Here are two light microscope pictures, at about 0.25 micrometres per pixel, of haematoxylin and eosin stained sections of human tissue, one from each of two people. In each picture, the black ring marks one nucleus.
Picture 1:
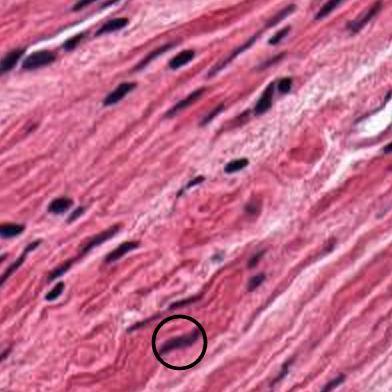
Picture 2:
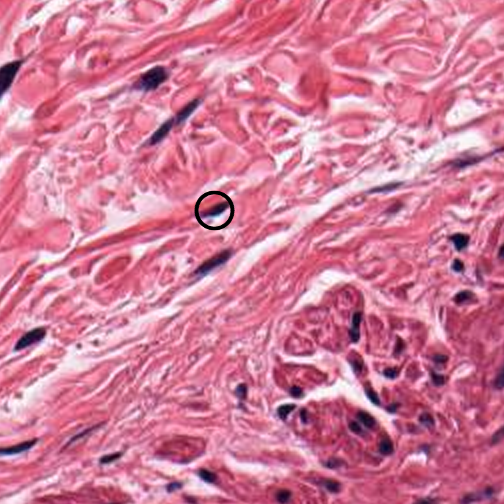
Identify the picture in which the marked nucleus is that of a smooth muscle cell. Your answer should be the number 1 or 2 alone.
1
